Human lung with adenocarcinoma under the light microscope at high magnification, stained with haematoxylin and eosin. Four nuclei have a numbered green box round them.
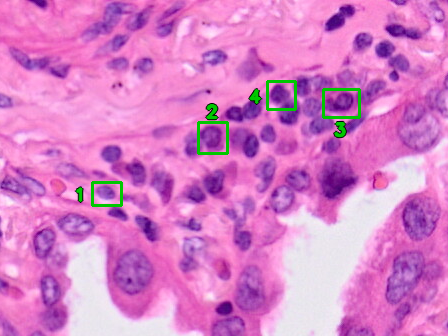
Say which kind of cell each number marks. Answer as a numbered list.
1. lymphocyte
2. plasma cell
3. plasma cell
4. lymphocyte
